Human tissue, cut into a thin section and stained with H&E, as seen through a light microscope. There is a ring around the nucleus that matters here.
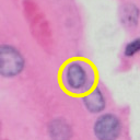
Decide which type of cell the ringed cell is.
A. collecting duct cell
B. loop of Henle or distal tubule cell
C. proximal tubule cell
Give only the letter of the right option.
A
